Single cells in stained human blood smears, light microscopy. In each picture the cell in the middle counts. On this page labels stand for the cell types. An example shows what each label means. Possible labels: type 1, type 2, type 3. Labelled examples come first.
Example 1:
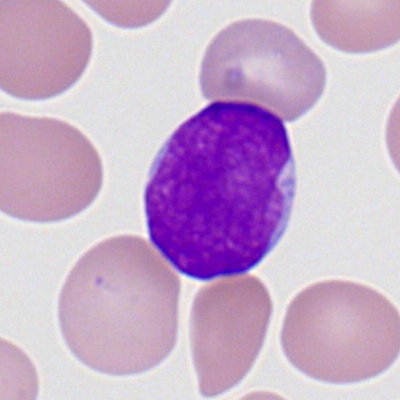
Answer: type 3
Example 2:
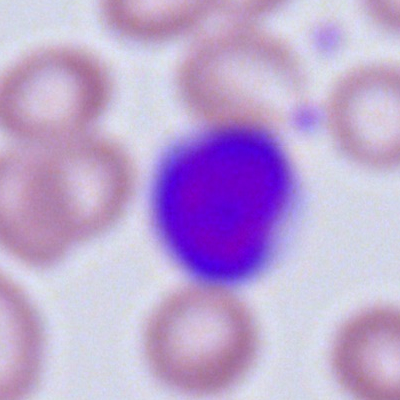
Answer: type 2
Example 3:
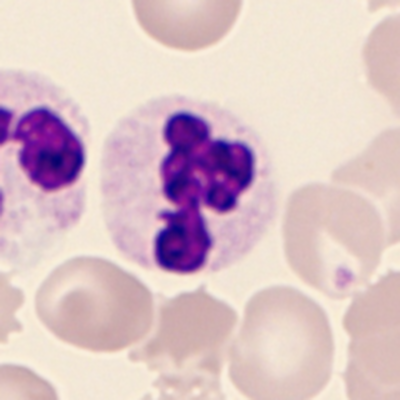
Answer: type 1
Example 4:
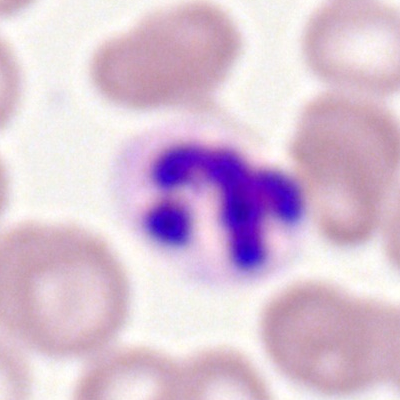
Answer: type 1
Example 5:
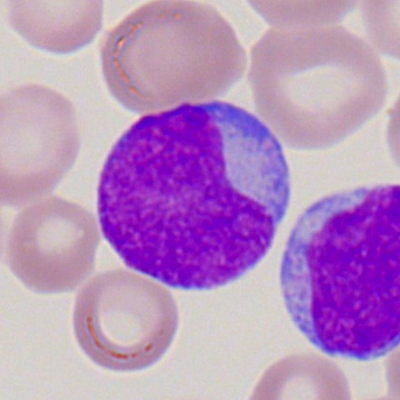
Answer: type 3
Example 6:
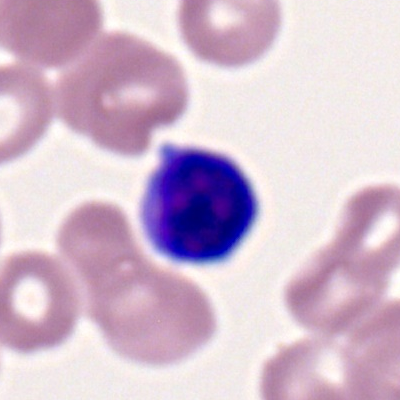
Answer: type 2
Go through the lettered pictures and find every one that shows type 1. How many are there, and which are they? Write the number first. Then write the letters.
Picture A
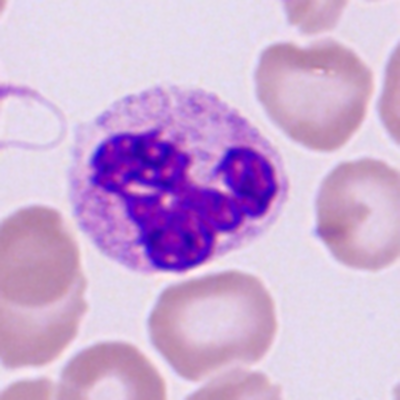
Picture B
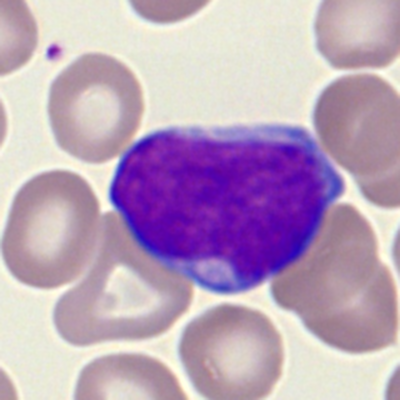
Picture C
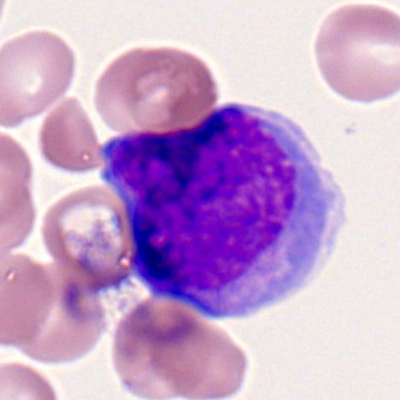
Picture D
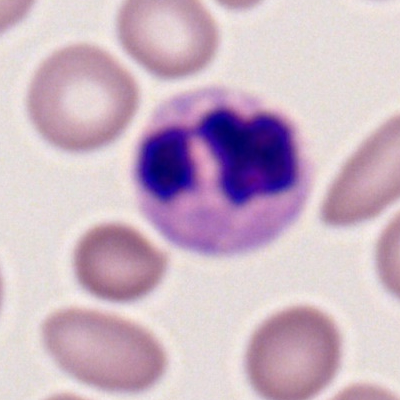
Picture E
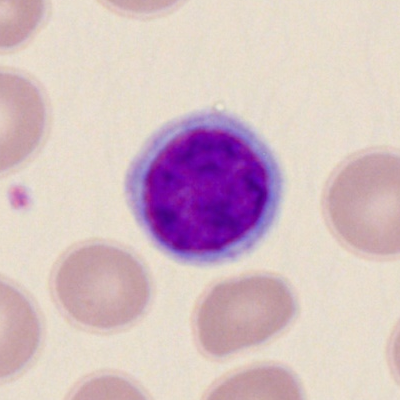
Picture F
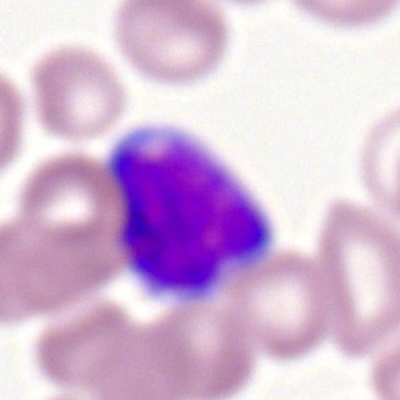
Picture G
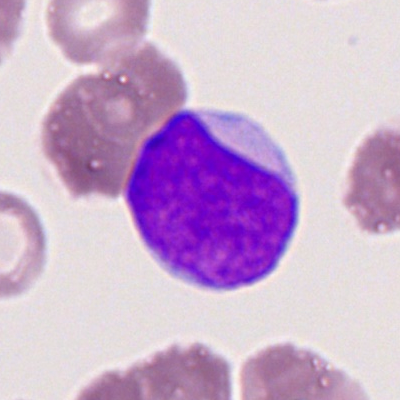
Count: 2 (A, D)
